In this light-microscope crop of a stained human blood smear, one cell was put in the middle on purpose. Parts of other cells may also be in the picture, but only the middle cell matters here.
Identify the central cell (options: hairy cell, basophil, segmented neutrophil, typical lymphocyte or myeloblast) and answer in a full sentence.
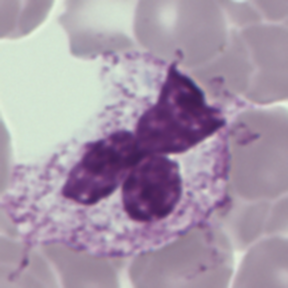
The target cell in the middle of the crop is a segmented neutrophil.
